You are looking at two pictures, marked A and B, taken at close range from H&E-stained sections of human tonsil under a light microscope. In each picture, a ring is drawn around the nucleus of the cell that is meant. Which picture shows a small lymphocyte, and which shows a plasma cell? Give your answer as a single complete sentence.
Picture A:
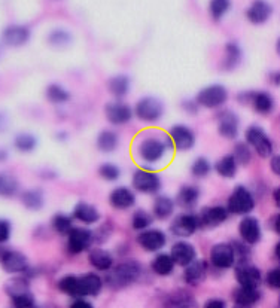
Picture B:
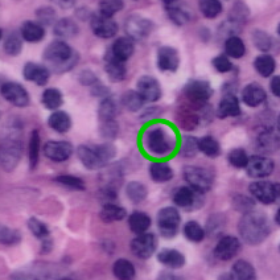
Picture A shows a small lymphocyte and picture B shows a plasma cell.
